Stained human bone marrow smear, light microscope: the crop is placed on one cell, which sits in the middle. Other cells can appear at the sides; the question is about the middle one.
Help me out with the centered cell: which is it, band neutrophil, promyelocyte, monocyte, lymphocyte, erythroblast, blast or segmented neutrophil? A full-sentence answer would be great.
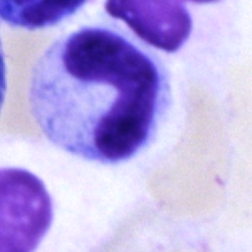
The centrally positioned cell in the crop represents a band neutrophil.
